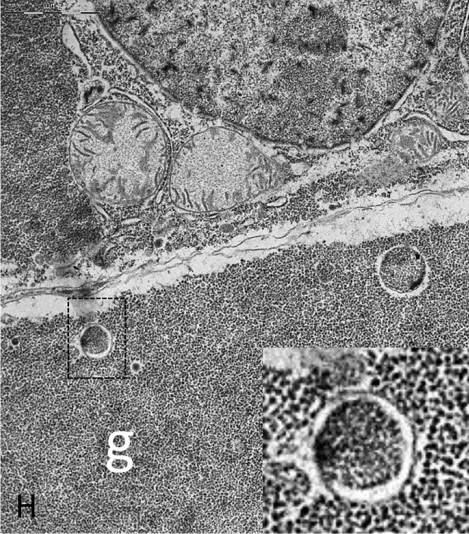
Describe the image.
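Small round membrane-bound bodies lie within this granular mass, one enlarged in the inset. Across a narrow intercellular space, the upper cell shows part of a nucleus and mitochondria with cristae. Granular material is also present in the cytoplasm of the upper cell.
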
